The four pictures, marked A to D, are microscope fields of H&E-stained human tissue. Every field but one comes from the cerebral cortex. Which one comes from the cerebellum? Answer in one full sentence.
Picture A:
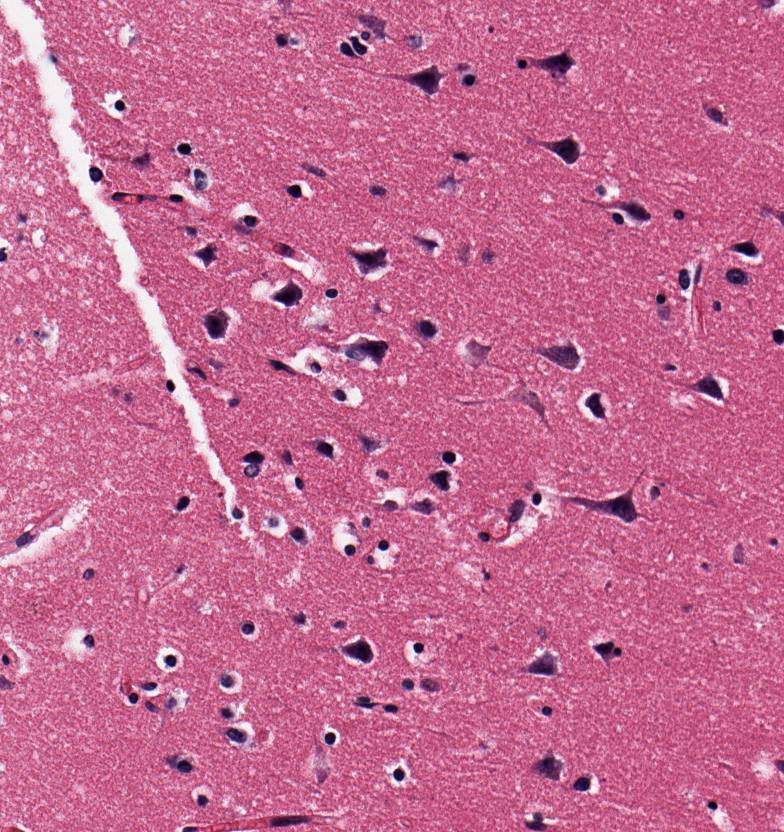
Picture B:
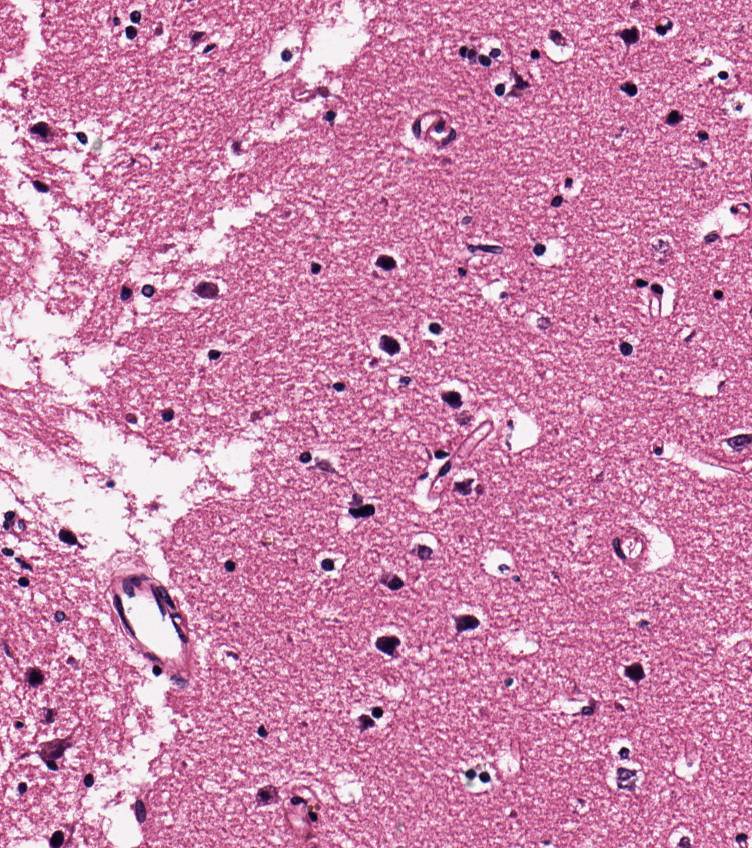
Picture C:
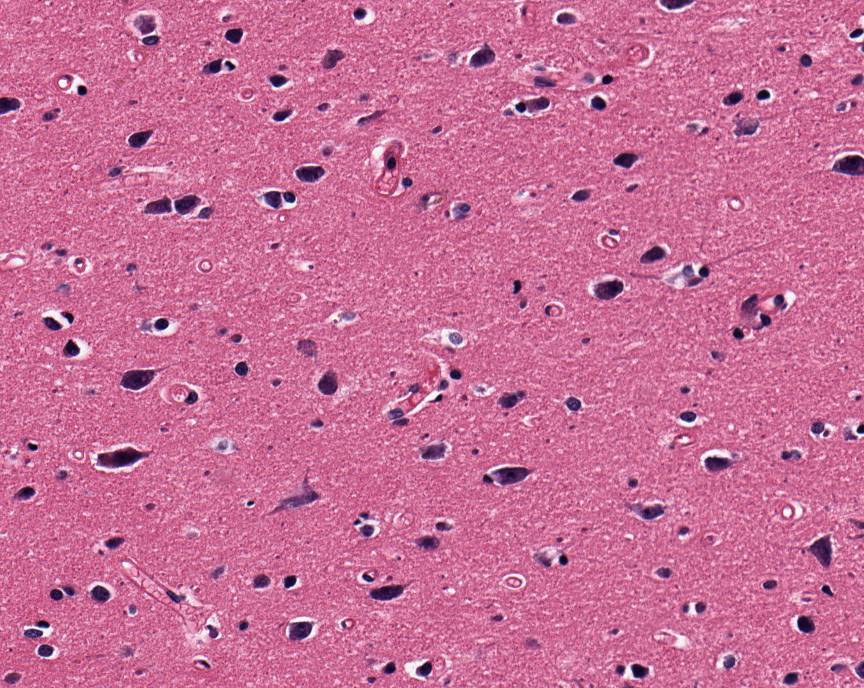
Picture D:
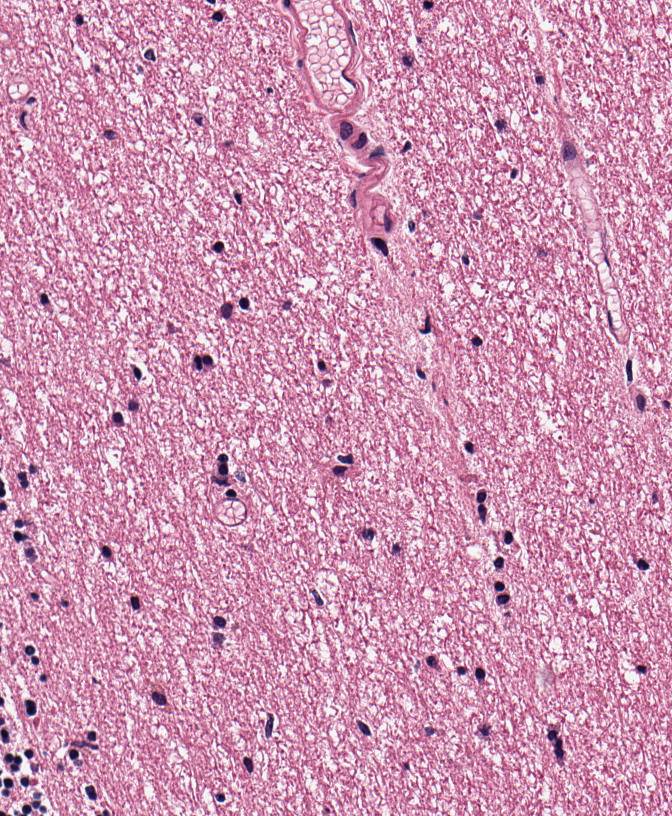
Picture D comes from the cerebellum.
